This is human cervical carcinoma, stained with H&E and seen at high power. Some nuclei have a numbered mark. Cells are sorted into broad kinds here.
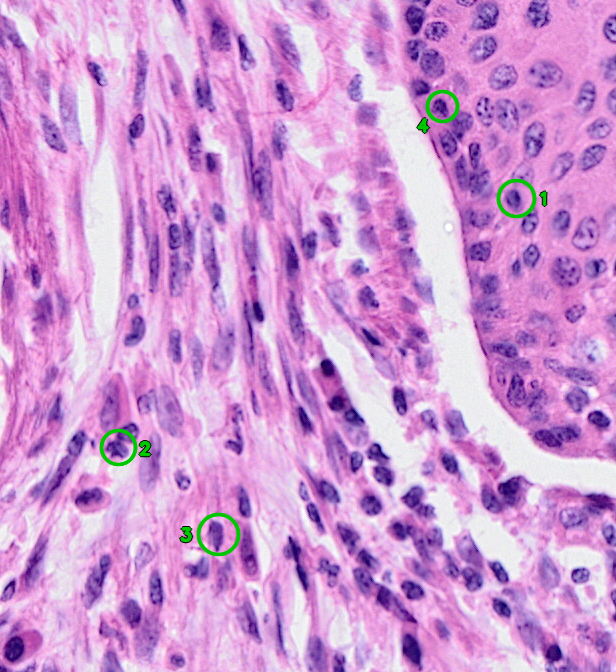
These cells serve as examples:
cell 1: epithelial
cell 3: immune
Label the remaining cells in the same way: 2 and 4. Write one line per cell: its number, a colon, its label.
2: immune
4: epithelial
